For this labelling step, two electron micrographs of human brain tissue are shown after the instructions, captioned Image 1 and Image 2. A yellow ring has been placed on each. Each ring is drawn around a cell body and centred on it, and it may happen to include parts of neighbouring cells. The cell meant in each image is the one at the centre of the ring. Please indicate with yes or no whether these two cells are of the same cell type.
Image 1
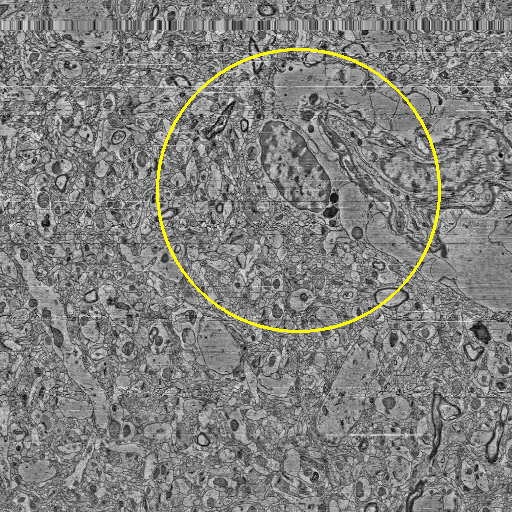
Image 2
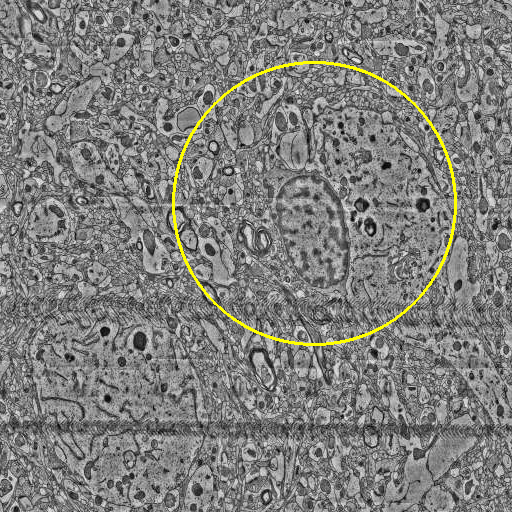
no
